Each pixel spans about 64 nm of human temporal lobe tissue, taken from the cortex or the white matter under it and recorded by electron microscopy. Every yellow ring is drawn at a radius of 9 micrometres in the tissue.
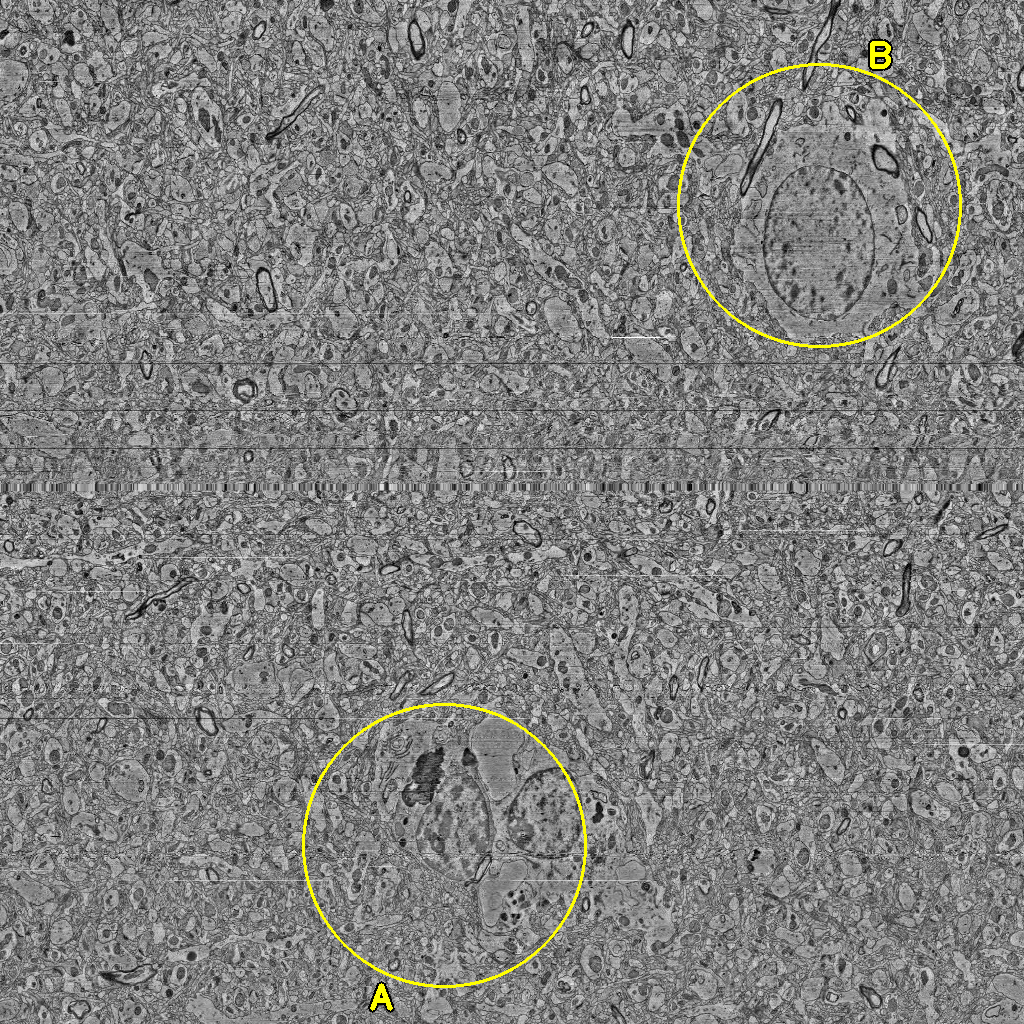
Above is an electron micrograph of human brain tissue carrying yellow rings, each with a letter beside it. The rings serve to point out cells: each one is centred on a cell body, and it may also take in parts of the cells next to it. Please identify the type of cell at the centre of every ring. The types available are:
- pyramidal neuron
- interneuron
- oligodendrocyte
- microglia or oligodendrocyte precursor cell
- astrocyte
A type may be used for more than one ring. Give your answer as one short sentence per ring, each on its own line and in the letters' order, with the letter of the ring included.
Ring A points to the cell body of an oligodendrocyte.
Ring B points to the cell body of an astrocyte.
